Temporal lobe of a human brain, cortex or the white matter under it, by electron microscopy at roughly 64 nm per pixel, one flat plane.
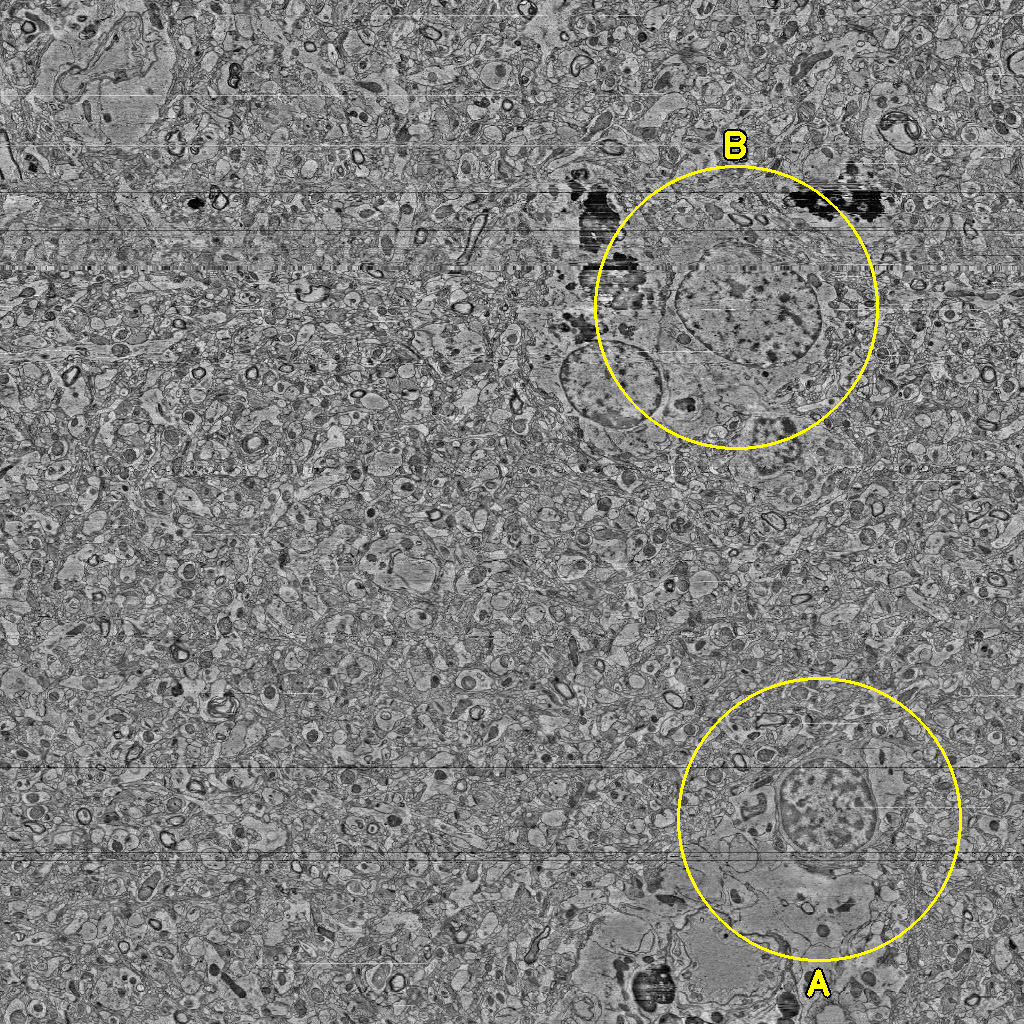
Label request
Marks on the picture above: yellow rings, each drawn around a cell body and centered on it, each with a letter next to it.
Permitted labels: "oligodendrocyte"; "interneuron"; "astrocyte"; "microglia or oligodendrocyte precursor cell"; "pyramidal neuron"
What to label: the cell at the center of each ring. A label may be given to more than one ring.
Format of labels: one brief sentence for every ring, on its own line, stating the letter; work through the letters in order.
The cell at the center of ring A is an oligodendrocyte.
The cell at the center of ring B is an astrocyte.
